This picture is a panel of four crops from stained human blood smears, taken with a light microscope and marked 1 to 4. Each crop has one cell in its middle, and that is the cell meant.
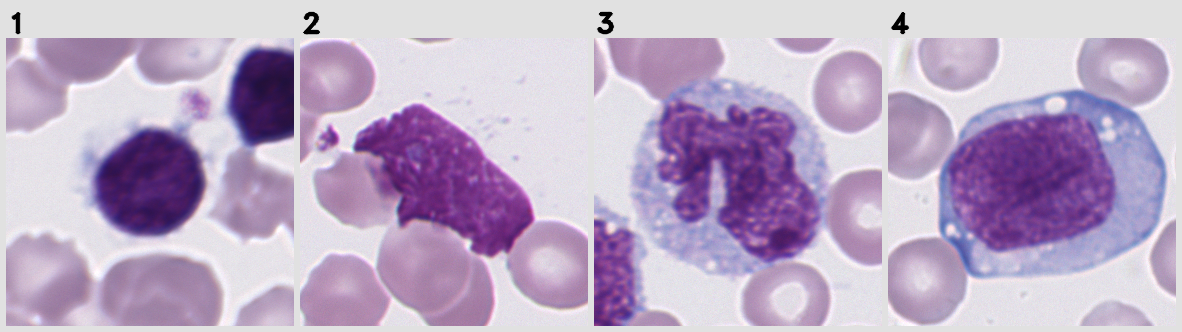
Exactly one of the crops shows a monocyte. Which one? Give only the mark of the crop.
3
